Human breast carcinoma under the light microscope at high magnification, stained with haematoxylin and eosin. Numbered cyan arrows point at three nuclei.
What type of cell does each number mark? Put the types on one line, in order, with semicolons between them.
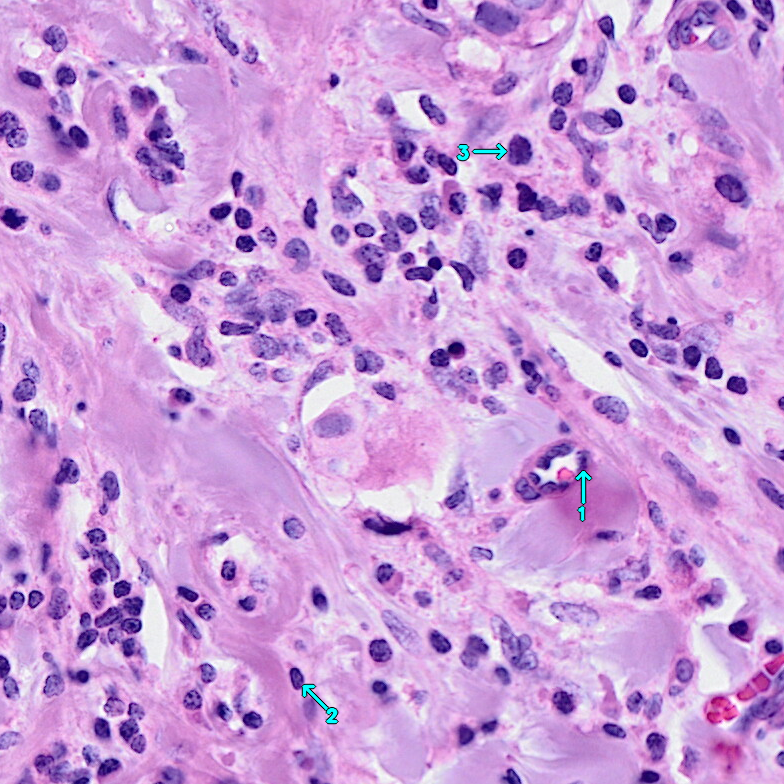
endothelial cell; lymphocyte; carcinoma cell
